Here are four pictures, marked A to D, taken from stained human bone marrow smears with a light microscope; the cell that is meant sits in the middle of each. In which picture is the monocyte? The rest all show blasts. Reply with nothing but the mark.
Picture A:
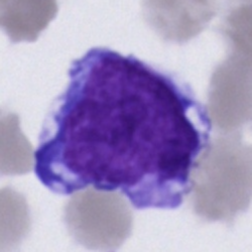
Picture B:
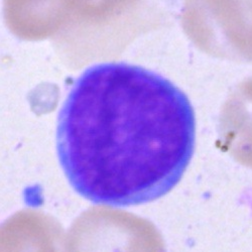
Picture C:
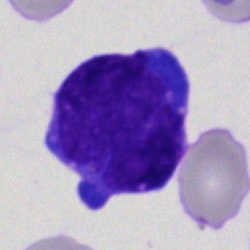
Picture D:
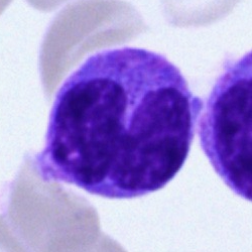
D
